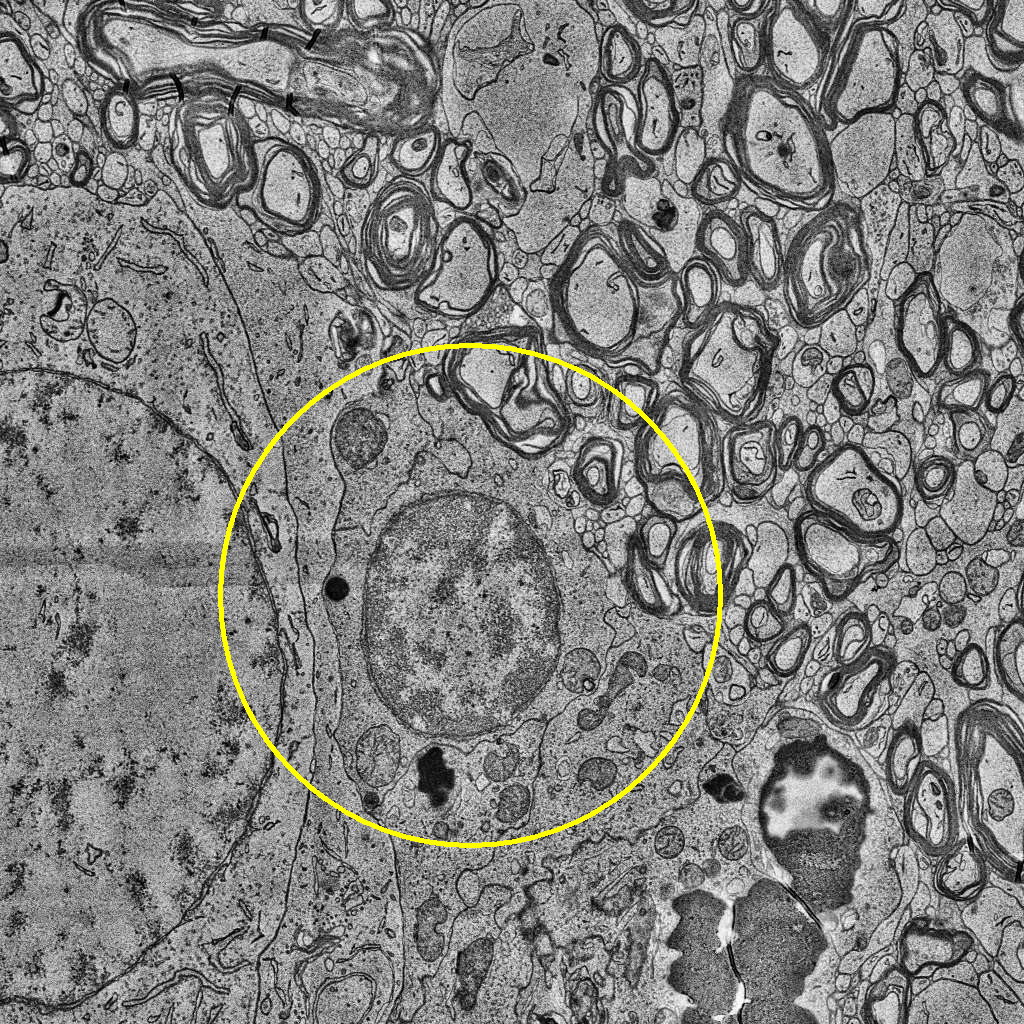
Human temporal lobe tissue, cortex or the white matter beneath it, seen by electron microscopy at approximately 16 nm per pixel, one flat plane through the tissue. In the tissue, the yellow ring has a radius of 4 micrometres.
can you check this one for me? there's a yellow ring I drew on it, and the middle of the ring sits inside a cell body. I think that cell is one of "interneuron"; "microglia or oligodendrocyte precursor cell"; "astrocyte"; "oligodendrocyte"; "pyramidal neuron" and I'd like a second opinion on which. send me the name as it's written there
oligodendrocyte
